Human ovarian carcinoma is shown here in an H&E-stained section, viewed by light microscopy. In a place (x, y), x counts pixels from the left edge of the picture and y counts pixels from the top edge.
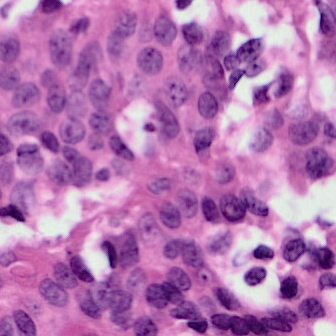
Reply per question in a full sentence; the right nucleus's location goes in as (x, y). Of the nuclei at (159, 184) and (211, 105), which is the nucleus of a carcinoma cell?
The nucleus that belongs to a carcinoma cell sits at (211, 105).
